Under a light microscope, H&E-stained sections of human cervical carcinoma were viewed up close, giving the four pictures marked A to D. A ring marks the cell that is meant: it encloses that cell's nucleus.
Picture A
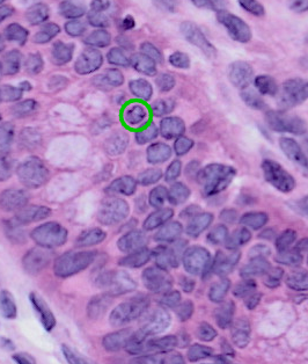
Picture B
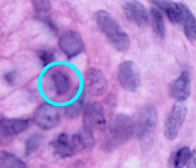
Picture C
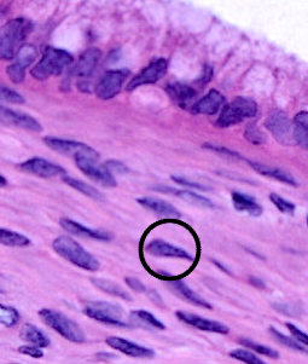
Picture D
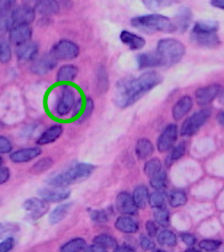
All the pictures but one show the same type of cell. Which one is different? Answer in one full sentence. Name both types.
The others show secretory epithelial cells, but picture C shows a fibroblast.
